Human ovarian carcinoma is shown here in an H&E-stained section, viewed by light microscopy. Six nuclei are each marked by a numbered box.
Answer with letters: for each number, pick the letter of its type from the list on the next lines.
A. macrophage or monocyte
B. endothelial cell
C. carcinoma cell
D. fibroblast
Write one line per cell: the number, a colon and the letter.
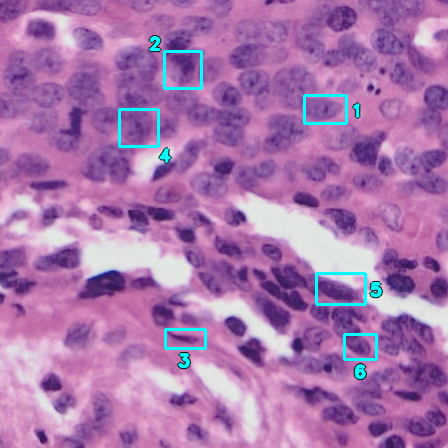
1: C
2: C
3: D
4: C
5: C
6: A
